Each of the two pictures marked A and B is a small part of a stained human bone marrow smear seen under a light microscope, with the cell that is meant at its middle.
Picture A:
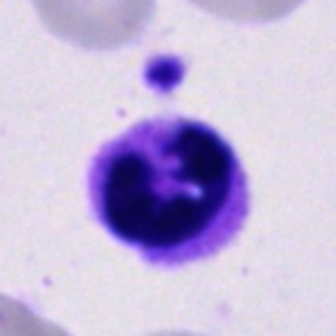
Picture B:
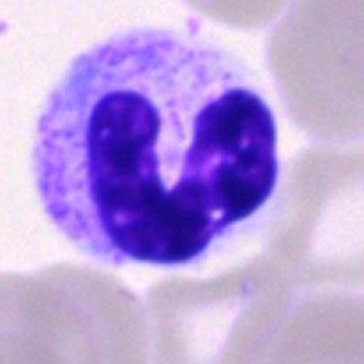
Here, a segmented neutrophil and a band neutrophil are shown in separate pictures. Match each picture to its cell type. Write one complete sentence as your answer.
Picture B shows a band neutrophil, while picture A shows a segmented neutrophil.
